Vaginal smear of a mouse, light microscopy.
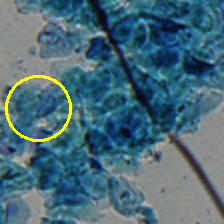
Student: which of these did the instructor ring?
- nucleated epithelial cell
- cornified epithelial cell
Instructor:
The cell I ringed is a cornified epithelial cell.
